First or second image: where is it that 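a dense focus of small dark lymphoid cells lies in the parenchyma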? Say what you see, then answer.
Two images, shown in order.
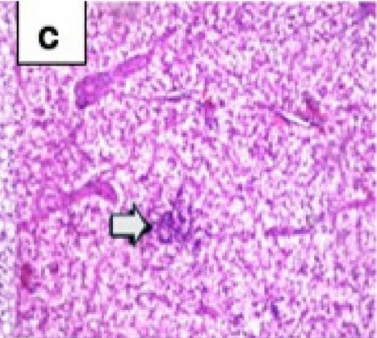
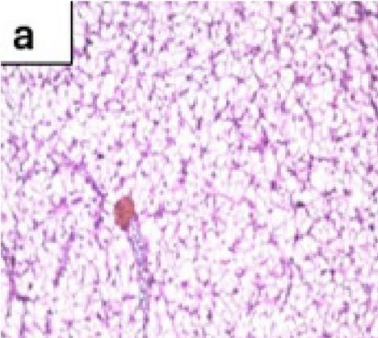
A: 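First image: a compact dark purple cluster of small nuclei sits in pale tissue. Second image: the pale vacuolated parenchyma is uniform with no dark cell cluster.
The first image.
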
